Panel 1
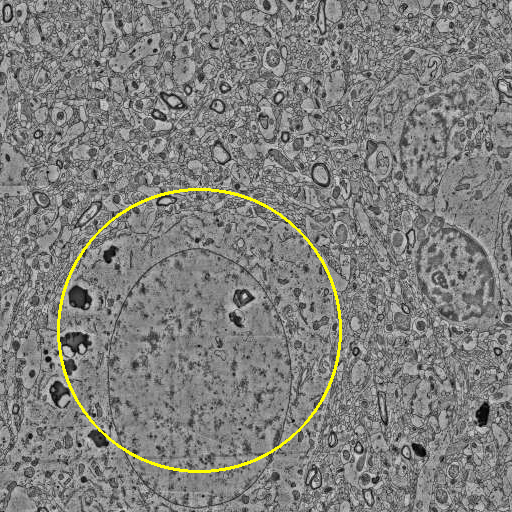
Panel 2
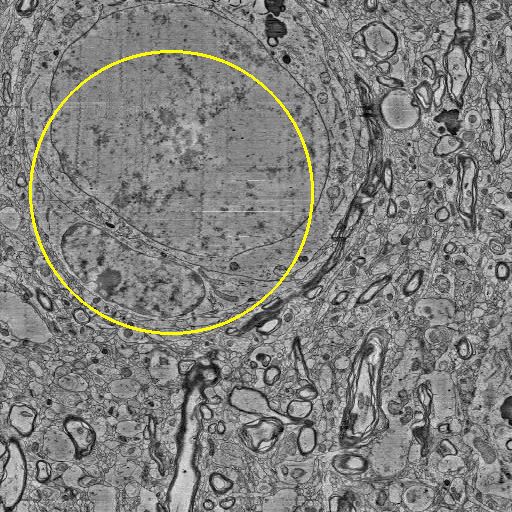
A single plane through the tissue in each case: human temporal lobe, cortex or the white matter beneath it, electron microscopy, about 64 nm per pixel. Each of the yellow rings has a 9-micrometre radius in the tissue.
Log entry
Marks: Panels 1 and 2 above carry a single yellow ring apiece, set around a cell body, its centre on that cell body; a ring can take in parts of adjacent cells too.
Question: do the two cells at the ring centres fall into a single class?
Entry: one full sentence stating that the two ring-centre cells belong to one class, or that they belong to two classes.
The two ring-centre cells in Panels 1 and 2 belong to one class.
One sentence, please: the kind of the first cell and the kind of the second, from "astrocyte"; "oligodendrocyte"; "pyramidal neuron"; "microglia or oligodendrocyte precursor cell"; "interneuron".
Each cell at the centre of a ring is a pyramidal neuron.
